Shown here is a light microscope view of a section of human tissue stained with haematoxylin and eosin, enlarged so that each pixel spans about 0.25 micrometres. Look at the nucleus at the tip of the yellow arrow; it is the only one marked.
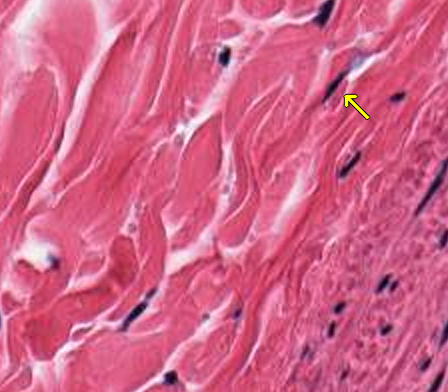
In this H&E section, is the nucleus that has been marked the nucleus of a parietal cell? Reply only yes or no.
no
